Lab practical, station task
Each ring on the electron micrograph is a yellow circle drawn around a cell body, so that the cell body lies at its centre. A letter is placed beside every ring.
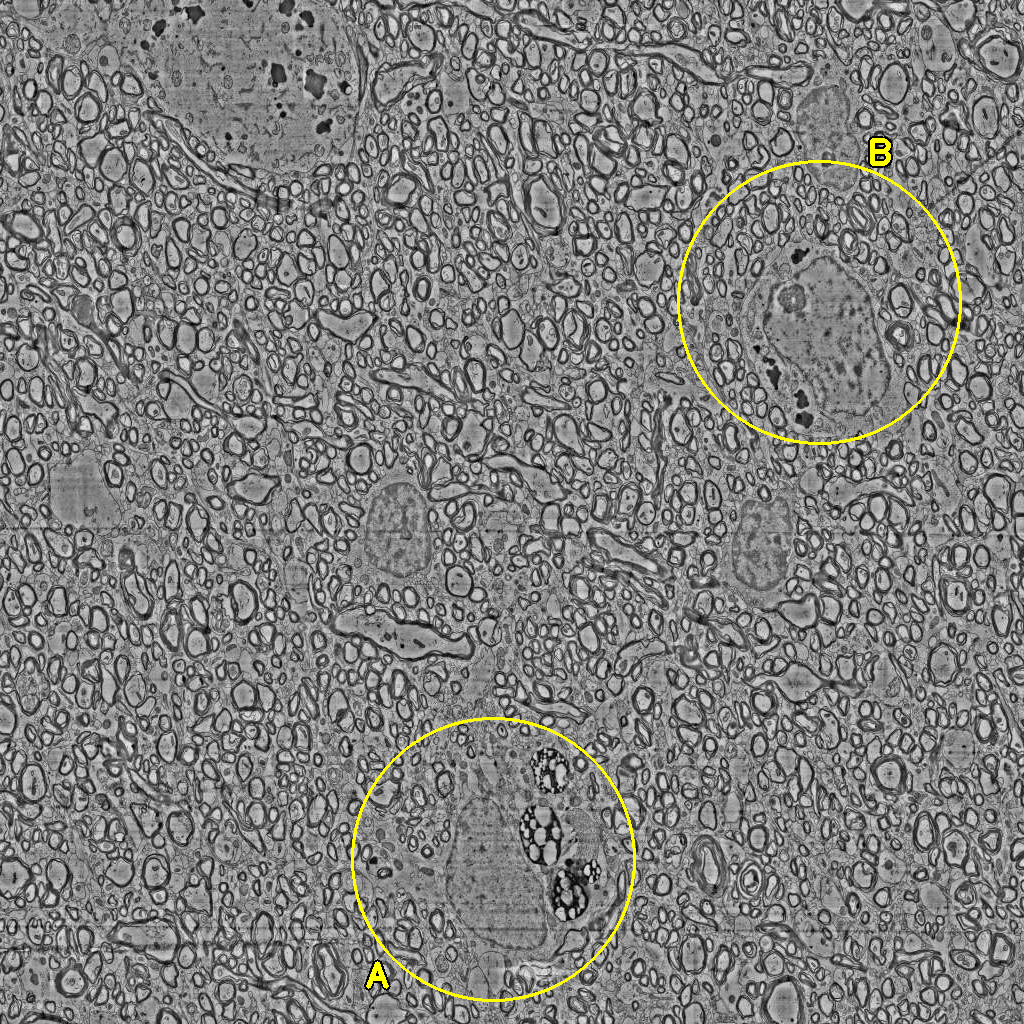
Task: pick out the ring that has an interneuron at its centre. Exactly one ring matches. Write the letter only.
B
